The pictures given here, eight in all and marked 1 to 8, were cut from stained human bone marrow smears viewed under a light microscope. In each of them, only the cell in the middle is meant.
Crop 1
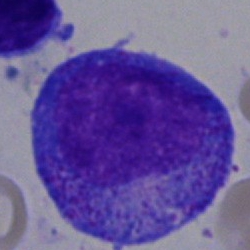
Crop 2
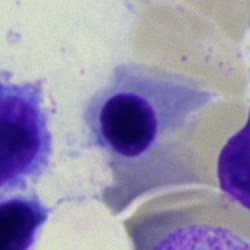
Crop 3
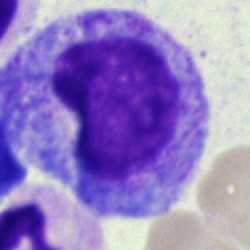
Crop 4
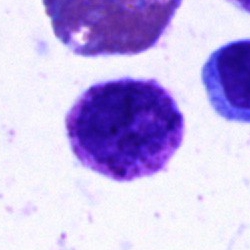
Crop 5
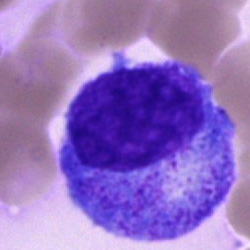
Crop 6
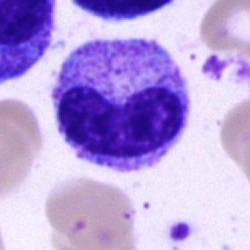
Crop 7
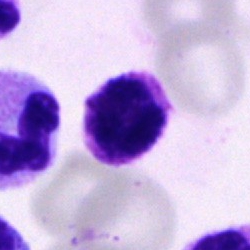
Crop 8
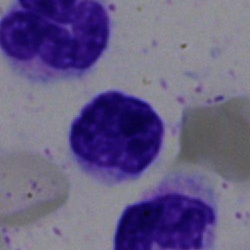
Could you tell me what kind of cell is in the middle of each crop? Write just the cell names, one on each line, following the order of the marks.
promyelocyte
normoblast
promyelocyte
basophil
promyelocyte
metamyelocyte
basophil
lymphocyte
